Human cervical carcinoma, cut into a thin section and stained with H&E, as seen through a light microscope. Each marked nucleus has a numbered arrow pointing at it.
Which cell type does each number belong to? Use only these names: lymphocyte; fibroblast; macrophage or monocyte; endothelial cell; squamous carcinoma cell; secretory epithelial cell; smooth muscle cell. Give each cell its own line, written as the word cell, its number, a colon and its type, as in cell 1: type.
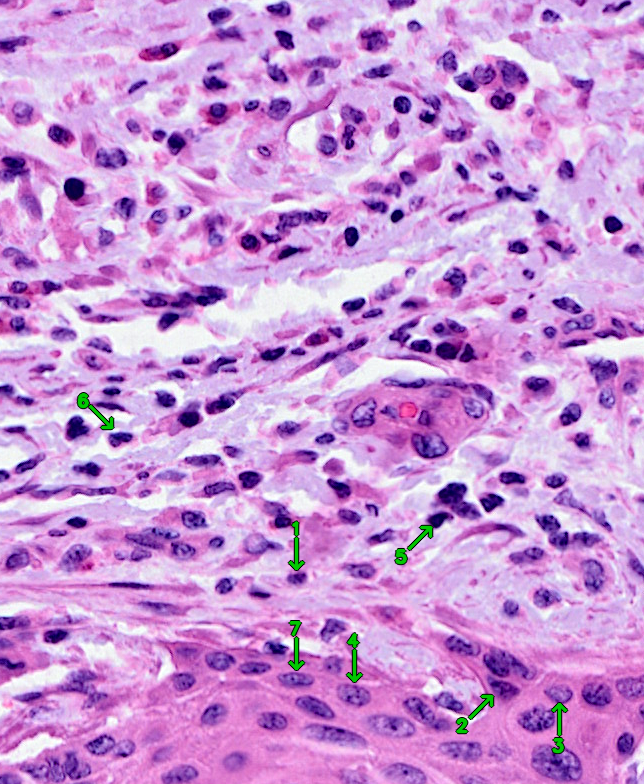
cell 1: lymphocyte
cell 2: squamous carcinoma cell
cell 3: squamous carcinoma cell
cell 4: squamous carcinoma cell
cell 5: lymphocyte
cell 6: lymphocyte
cell 7: squamous carcinoma cell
